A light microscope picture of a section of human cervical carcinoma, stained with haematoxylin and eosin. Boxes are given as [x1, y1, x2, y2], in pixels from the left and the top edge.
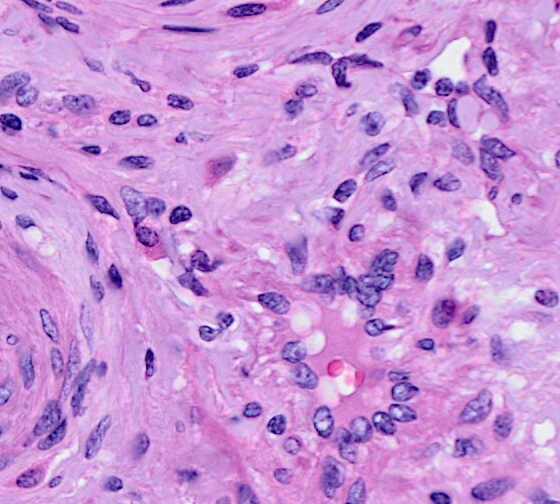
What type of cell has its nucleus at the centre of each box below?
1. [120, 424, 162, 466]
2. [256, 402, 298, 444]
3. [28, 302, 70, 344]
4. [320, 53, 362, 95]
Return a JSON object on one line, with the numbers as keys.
{"1": "fibroblast", "2": "lymphocyte", "3": "smooth muscle cell", "4": "lymphocyte"}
